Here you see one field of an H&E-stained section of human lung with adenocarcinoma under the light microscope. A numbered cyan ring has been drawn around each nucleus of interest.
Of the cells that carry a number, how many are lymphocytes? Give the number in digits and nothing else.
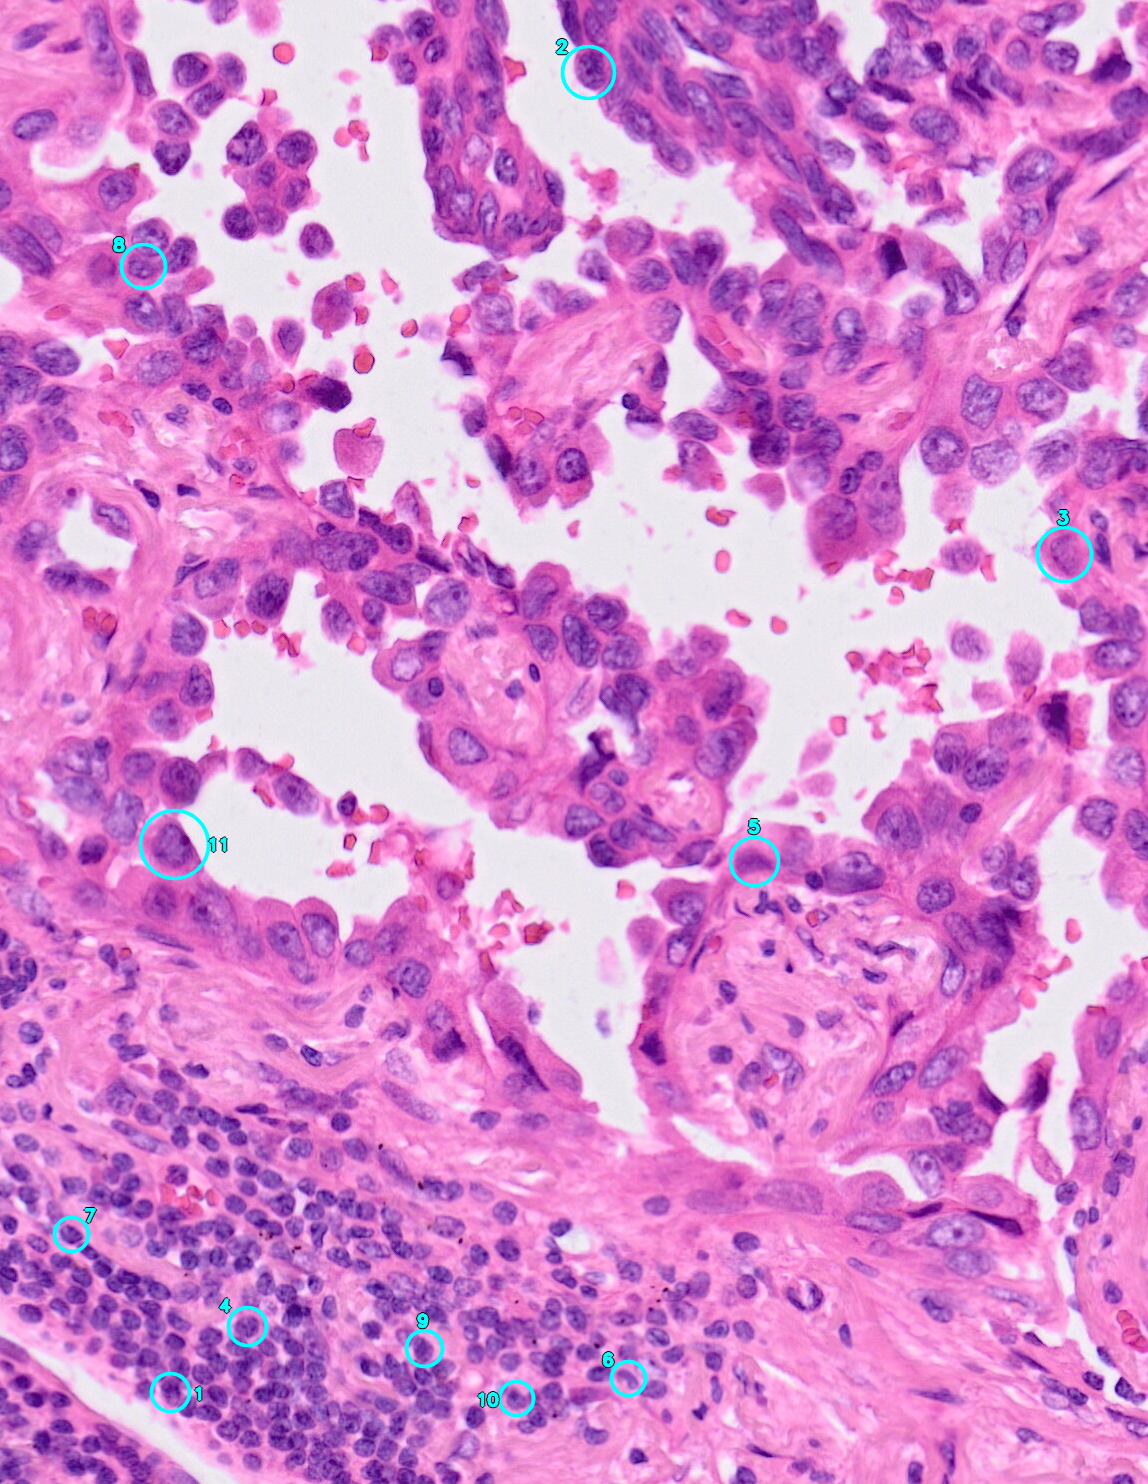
6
